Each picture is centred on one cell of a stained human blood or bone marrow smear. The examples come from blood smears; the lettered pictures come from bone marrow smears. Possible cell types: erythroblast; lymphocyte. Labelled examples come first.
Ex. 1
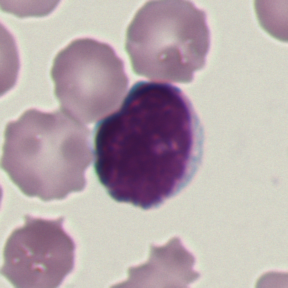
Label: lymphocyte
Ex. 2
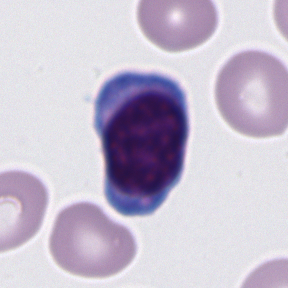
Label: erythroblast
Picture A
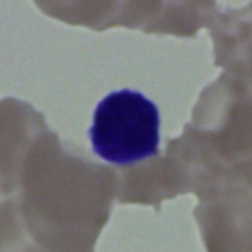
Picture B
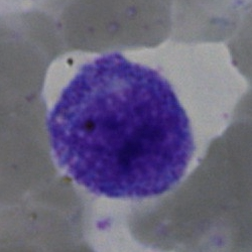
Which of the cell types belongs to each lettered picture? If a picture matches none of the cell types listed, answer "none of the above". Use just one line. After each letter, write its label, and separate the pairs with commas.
A lymphocyte, B none of the above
